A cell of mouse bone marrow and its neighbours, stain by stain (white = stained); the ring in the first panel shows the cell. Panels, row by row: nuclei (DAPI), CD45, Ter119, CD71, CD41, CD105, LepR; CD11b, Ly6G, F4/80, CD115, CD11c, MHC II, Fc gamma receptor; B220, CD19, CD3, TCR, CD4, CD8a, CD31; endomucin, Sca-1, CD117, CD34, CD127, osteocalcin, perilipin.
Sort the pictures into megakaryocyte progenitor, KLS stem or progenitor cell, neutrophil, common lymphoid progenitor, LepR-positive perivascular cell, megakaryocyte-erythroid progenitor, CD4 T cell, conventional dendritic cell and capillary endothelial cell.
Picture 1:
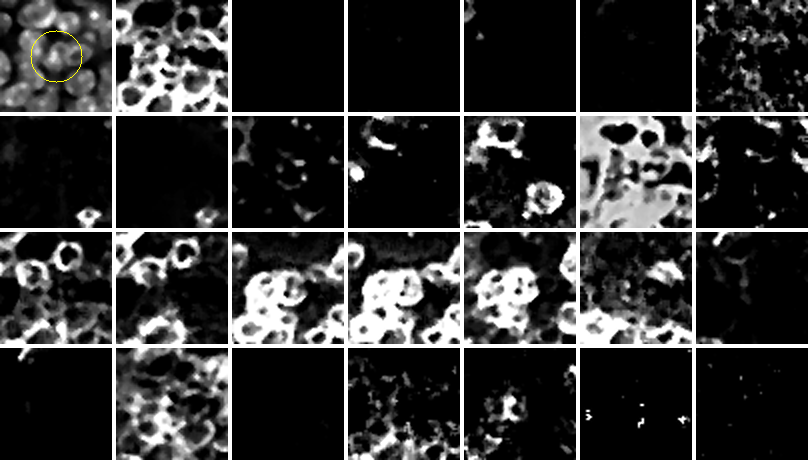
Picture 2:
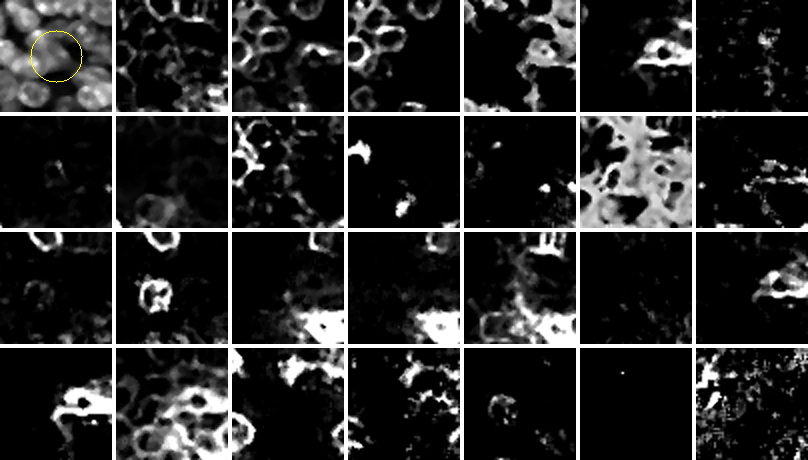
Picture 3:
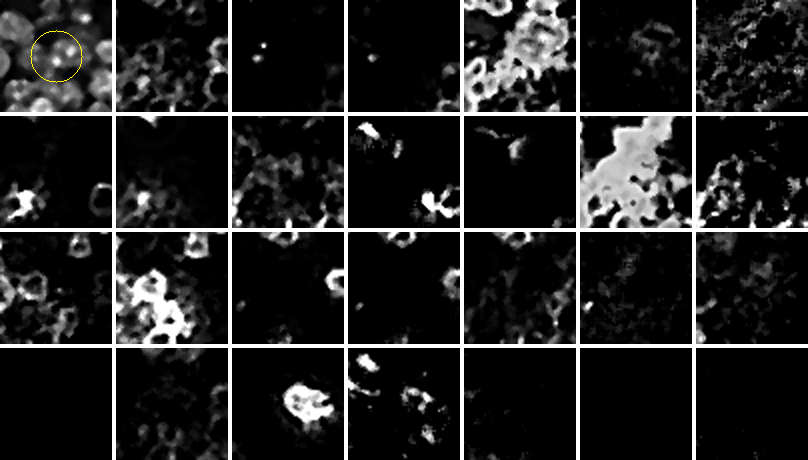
CD4 T cells: 1
Capillary endothelial cells: 2
Megakaryocyte progenitors: 3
